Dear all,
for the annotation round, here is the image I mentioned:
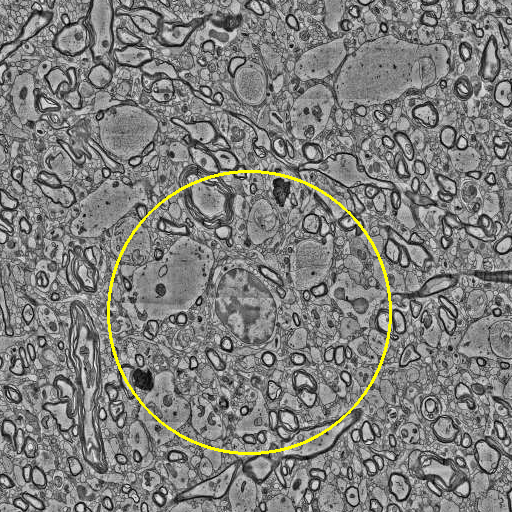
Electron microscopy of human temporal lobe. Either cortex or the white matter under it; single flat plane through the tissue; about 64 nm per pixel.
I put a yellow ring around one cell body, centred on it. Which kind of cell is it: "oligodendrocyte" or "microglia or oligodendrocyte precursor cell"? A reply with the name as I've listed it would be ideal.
microglia or oligodendrocyte precursor cell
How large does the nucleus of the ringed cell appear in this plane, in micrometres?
The nucleus works out at approximately 5 by 4 micrometres in this plane.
